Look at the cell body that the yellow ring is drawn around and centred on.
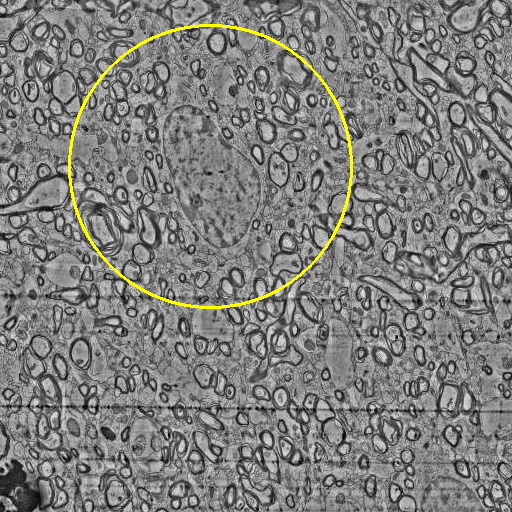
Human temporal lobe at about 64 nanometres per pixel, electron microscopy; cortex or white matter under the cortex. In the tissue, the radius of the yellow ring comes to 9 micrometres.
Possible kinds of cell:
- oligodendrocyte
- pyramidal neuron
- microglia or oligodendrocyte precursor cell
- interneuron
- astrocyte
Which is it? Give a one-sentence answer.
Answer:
The centred cell body is that of a microglial cell or oligodendrocyte precursor cell.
